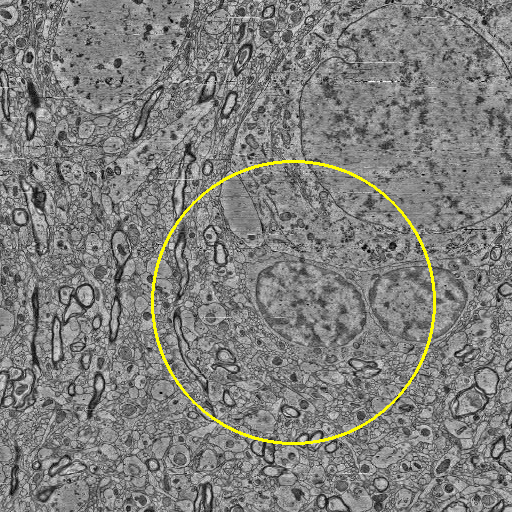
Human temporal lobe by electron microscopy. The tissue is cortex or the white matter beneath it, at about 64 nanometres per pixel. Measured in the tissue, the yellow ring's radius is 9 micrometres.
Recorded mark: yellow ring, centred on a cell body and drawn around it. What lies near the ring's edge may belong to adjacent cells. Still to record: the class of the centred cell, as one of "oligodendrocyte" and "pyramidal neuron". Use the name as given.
oligodendrocyte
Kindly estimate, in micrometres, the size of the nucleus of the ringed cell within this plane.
In this plane, about 7 micrometres in length and 5 in width.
